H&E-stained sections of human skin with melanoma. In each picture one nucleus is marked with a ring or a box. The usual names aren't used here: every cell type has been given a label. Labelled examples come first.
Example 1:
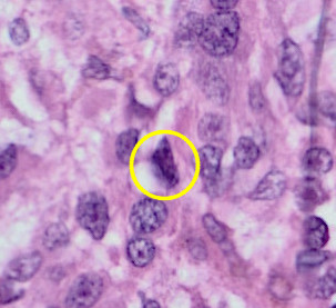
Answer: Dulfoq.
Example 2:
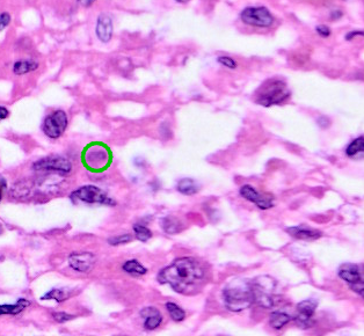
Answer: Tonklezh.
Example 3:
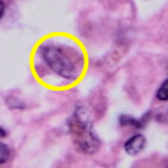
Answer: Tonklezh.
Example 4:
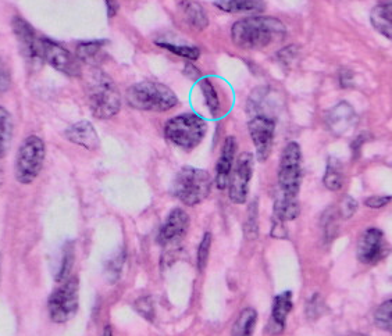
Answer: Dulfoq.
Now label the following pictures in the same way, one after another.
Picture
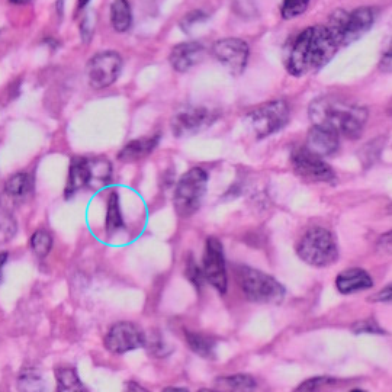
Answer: Dulfoq.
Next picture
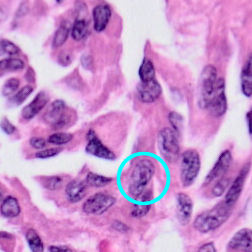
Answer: Dulfoq.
